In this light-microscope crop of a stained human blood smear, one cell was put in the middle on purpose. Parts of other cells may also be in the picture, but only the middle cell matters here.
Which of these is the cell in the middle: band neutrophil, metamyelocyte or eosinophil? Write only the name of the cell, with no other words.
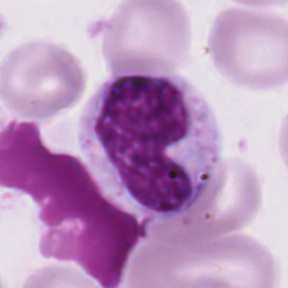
band neutrophil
